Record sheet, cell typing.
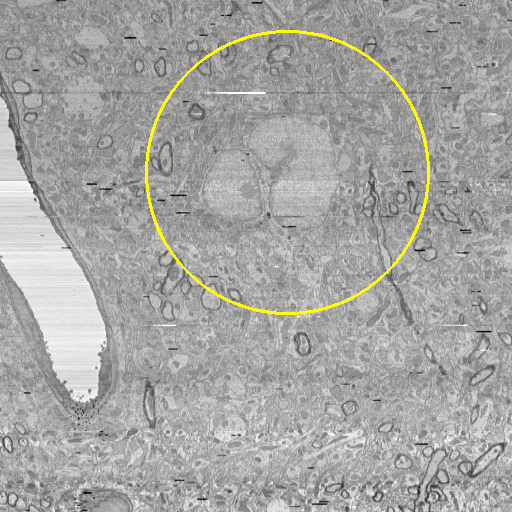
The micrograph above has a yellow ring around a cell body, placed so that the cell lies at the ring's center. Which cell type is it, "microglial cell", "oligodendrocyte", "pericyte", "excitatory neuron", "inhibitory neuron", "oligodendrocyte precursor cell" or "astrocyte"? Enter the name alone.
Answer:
astrocyte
